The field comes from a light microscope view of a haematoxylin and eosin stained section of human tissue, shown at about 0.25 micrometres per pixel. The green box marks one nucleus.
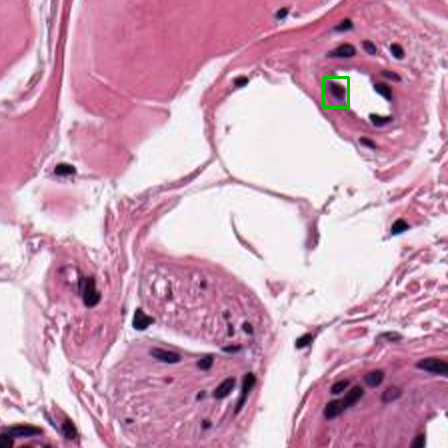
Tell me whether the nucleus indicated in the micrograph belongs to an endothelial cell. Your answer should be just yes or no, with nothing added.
yes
